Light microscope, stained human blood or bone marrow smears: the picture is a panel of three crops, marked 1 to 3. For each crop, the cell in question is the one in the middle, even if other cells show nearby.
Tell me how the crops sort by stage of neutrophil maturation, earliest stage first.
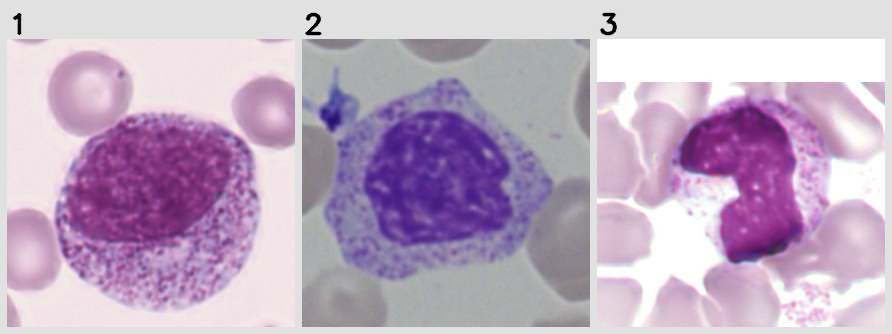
1, 2, 3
